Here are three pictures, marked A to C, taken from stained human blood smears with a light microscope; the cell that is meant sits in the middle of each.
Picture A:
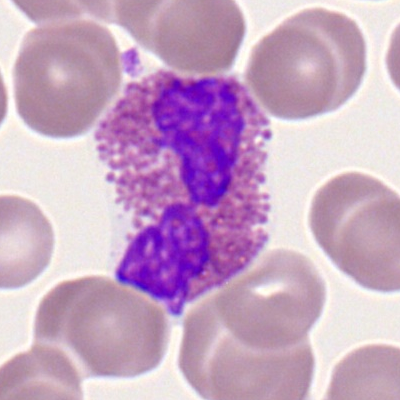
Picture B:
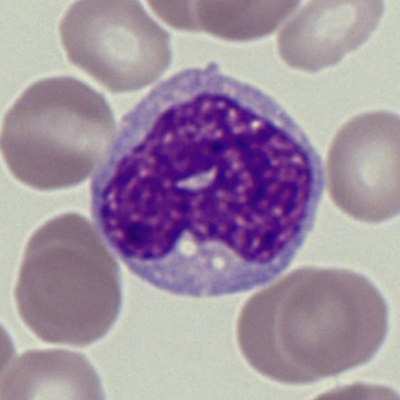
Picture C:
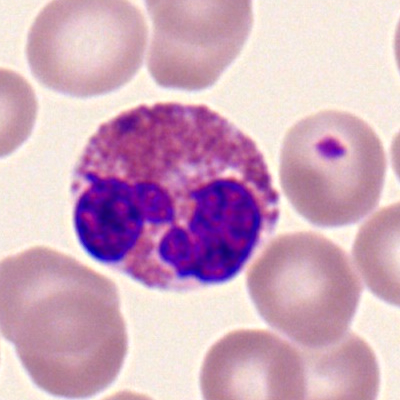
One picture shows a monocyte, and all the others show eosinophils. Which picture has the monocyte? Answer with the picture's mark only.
B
